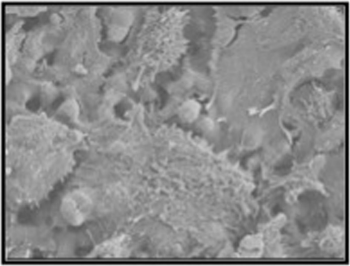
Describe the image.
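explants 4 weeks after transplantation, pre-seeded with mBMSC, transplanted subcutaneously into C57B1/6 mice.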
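The cell is broad and flattened, spreading widely over the substrate. Its margins are irregular and serrated, with many short spiky projections. Its upper surface is rough and textured. Around it the scaffold surface is uneven, with pits and smaller rounded bodies lying on it.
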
